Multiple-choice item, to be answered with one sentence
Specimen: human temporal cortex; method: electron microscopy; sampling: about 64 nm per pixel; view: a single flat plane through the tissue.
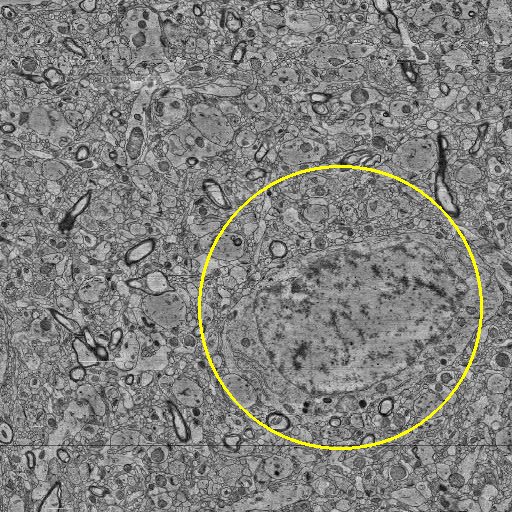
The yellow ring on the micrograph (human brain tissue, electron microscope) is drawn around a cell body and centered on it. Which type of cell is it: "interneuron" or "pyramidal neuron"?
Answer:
The ring is centered on an interneuron.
